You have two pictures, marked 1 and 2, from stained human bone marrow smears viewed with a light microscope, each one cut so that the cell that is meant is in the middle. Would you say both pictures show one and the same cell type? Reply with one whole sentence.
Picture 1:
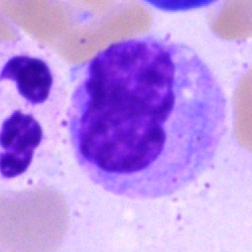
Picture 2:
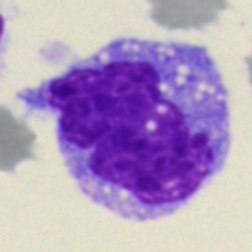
Yes; the cells in both pictures are monocytes.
